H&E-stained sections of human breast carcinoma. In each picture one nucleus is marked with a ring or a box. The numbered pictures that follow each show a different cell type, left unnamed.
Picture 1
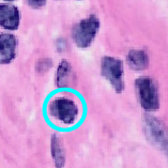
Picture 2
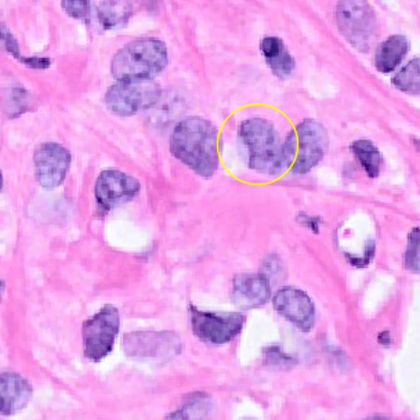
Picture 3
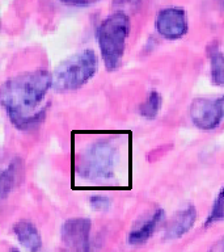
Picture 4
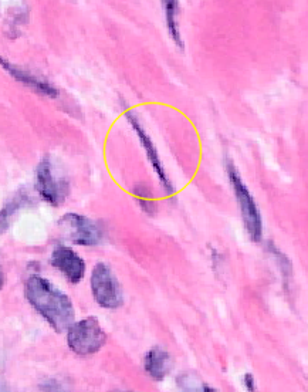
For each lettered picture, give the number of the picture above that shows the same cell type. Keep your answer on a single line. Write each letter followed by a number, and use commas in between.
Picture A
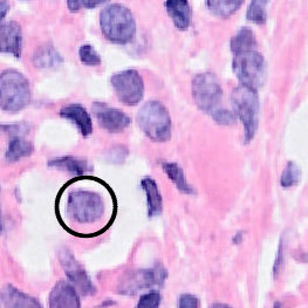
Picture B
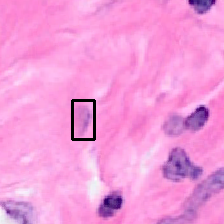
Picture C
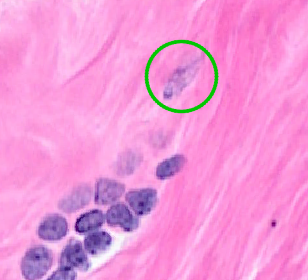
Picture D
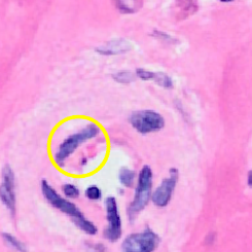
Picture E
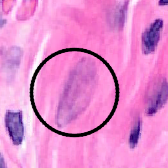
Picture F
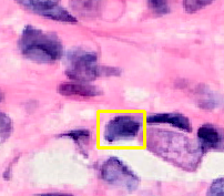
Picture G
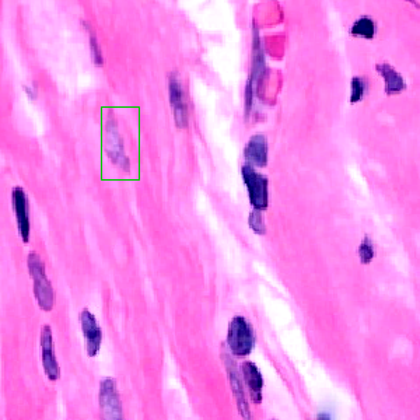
A 2, B 4, C 4, D 3, E 4, F 2, G 4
